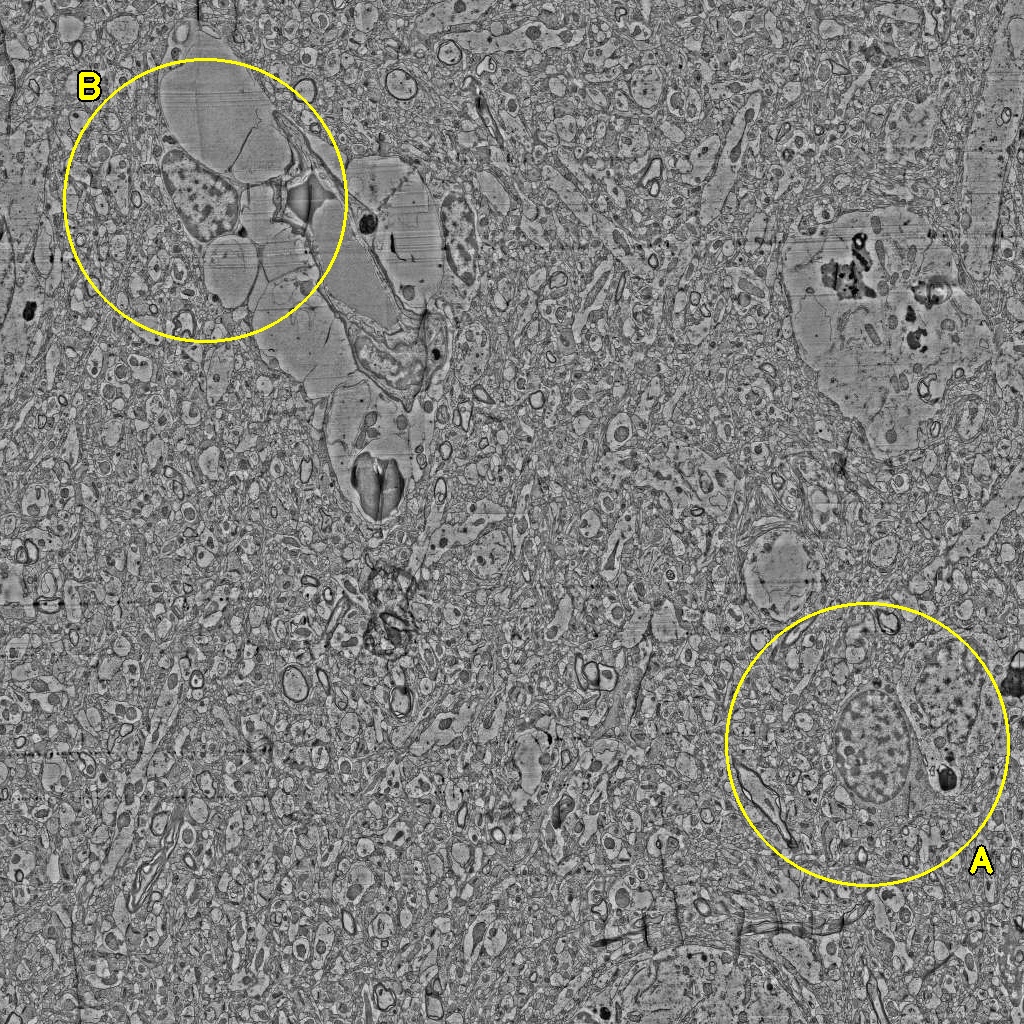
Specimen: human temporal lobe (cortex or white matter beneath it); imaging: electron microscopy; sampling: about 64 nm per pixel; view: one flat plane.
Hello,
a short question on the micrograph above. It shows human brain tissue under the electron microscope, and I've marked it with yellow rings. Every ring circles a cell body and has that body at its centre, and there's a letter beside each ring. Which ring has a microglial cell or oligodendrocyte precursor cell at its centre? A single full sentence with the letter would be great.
The cell you asked about sits at the centre of ring B.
